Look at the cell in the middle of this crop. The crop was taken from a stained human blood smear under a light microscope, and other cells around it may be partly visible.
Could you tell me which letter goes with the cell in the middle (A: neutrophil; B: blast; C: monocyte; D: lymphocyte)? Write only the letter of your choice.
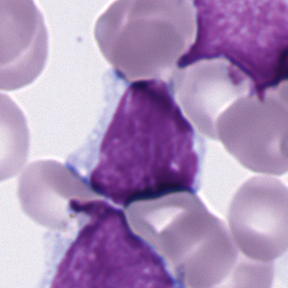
D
